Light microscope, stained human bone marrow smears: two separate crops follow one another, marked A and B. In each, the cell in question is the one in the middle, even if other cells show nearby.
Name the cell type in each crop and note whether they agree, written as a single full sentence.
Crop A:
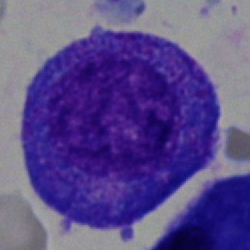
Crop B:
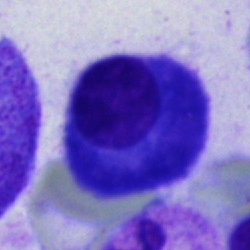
No, crop A contains a promyelocyte; a plasma cell is what crop B contains.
